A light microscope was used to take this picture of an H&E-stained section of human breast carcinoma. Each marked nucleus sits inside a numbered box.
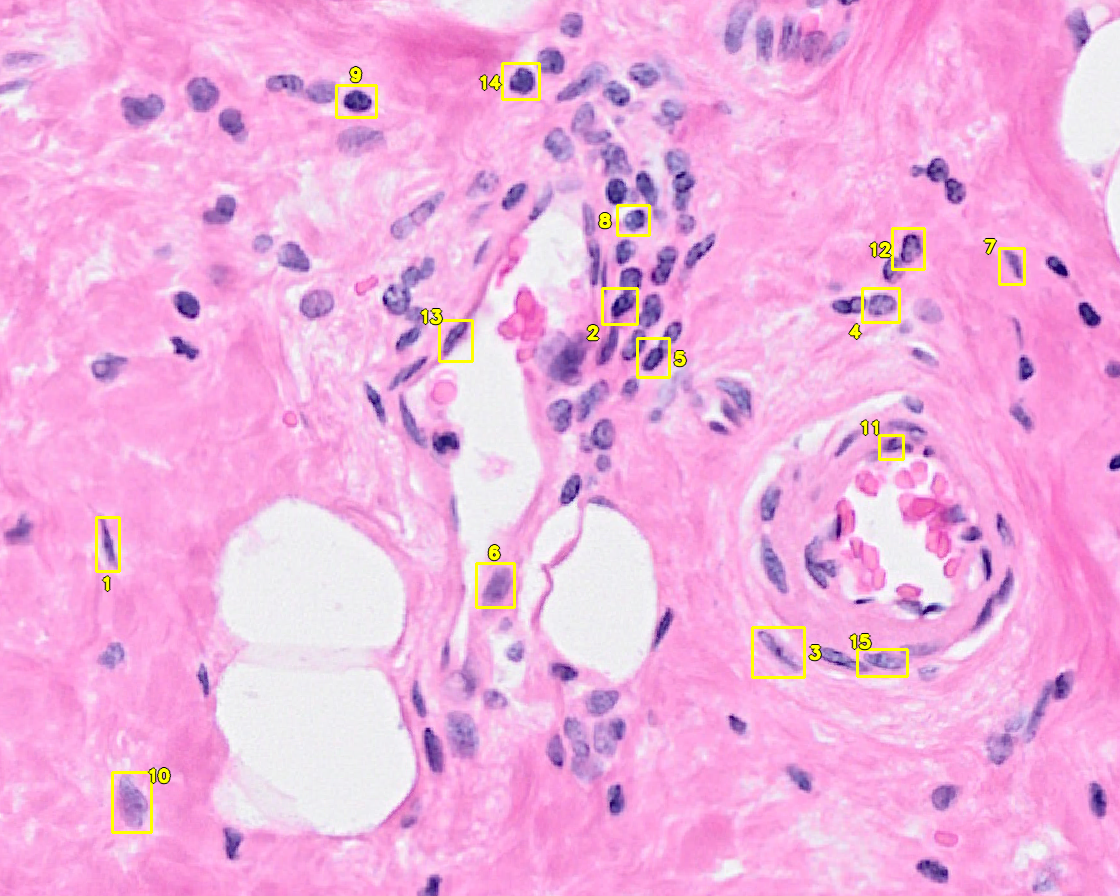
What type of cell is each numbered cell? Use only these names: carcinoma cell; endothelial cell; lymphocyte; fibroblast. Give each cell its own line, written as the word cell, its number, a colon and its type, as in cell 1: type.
cell 1: fibroblast
cell 2: lymphocyte
cell 3: fibroblast
cell 4: lymphocyte
cell 5: lymphocyte
cell 6: endothelial cell
cell 7: fibroblast
cell 8: lymphocyte
cell 9: lymphocyte
cell 10: fibroblast
cell 11: endothelial cell
cell 12: lymphocyte
cell 13: endothelial cell
cell 14: lymphocyte
cell 15: endothelial cell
